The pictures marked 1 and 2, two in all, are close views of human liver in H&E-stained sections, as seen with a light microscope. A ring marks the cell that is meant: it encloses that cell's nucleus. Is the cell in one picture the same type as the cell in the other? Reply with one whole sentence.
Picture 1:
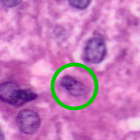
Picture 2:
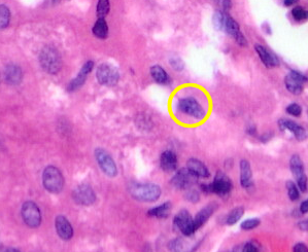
No, they differ: the cell is a Kupffer cell in picture 1 and a “fibroblast or stellate cell” in picture 2.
